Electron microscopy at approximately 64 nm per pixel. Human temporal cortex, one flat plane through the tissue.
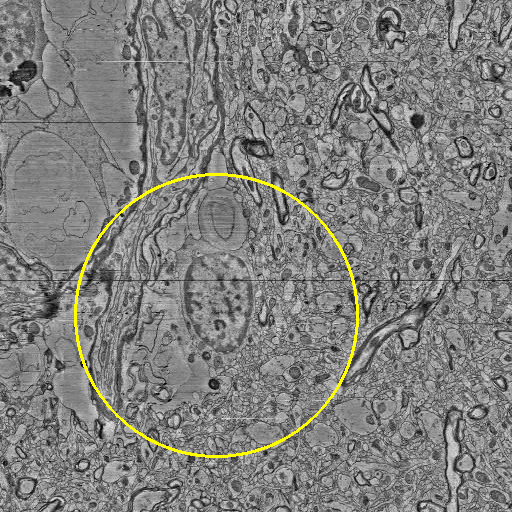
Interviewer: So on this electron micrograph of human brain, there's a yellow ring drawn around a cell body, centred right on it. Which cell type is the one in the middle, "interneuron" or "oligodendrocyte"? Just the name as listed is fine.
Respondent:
oligodendrocyte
